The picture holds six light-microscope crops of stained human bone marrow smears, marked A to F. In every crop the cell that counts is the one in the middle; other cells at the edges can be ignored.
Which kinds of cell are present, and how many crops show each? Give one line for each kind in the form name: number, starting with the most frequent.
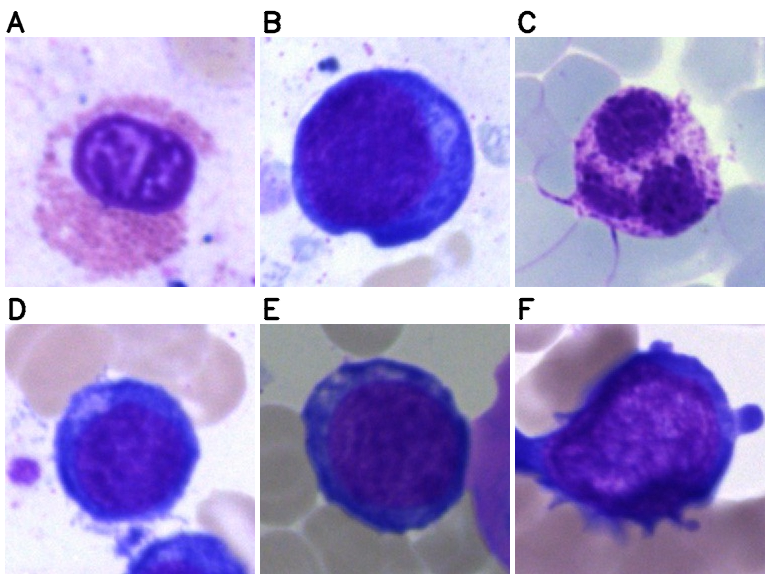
proerythroblast: 4
basophil: 2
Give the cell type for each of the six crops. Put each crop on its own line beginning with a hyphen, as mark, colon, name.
- A: basophil
- B: proerythroblast
- C: basophil
- D: proerythroblast
- E: proerythroblast
- F: proerythroblast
